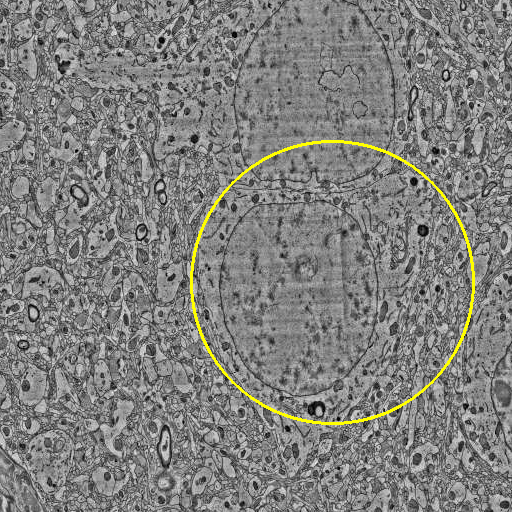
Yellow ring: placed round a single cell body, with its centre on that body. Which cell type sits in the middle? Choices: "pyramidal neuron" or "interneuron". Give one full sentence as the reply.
It is a pyramidal neuron whose cell body sits at the centre of the yellow ring.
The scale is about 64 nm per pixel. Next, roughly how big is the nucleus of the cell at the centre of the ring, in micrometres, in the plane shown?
The nucleus works out at approximately 13 by 11 micrometres in this plane.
